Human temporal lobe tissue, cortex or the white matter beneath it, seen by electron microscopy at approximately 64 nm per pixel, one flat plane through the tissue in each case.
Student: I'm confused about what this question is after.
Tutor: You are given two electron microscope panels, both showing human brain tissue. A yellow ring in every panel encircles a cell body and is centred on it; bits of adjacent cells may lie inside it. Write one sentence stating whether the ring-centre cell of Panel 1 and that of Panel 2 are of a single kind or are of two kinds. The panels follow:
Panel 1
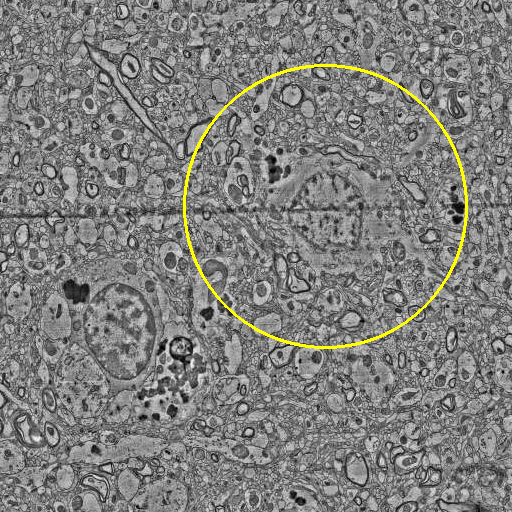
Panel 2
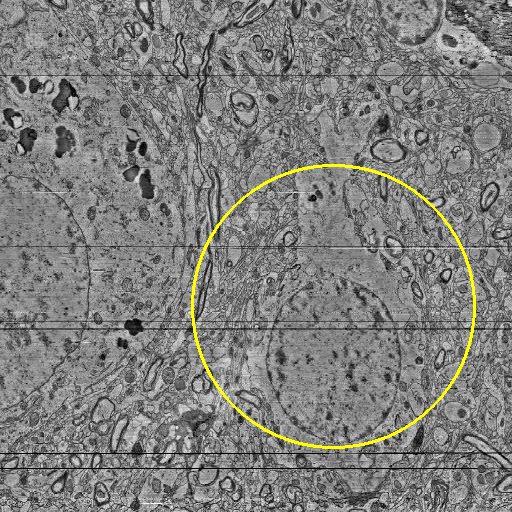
Here, the Panel 1 ring-centre cell and the Panel 2 ring-centre cell are of a single kind.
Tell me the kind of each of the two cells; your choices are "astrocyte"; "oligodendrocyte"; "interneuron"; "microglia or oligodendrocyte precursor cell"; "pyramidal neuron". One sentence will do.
Each cell, in the first picture and the second, is an astrocyte.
